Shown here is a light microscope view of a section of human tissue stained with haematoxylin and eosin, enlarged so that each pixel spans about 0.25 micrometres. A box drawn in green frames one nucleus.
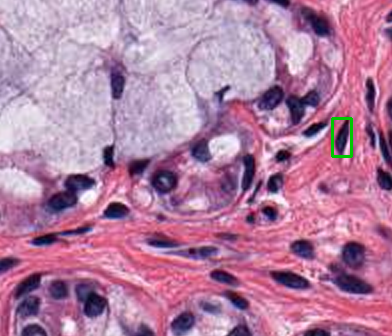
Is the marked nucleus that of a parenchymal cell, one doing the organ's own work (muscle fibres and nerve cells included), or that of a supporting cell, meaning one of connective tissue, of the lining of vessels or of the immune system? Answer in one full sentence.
A supporting cell is the cell whose nucleus is marked.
